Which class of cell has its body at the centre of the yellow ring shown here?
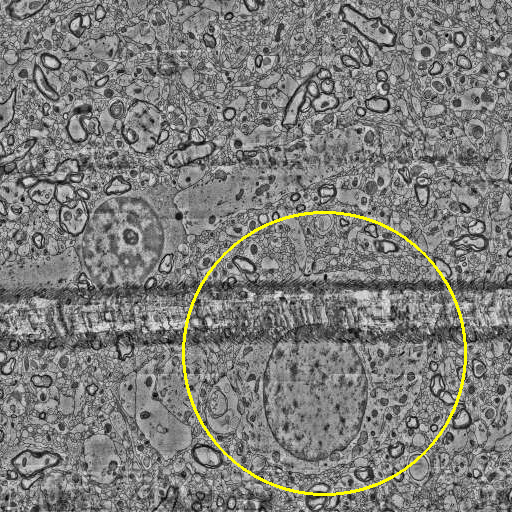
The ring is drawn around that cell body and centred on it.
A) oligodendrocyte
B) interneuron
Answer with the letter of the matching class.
B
